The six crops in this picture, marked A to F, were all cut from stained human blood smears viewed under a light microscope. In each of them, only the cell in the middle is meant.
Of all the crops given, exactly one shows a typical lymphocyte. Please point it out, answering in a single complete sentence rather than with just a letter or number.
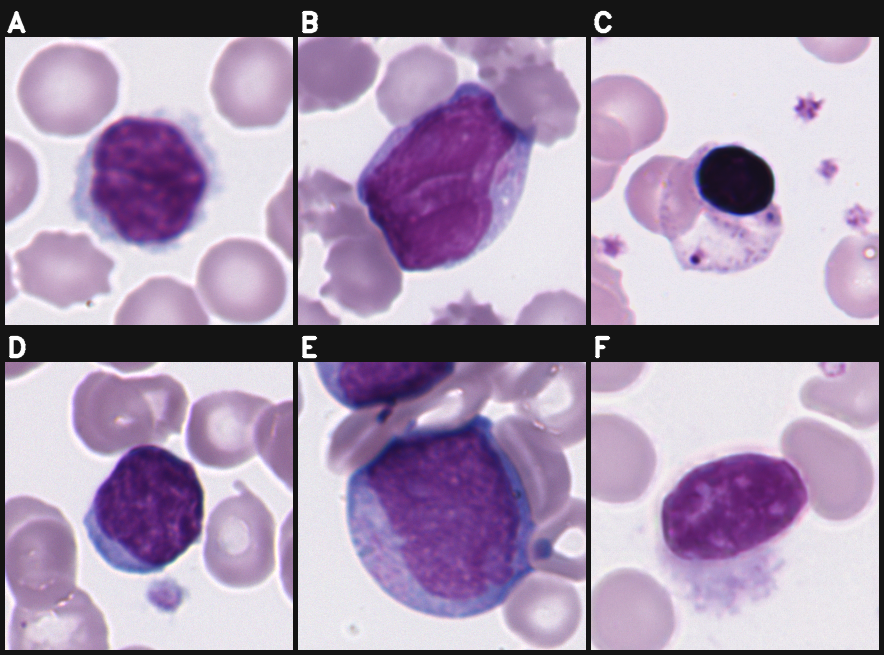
It is the cell in crop D that is a typical lymphocyte.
